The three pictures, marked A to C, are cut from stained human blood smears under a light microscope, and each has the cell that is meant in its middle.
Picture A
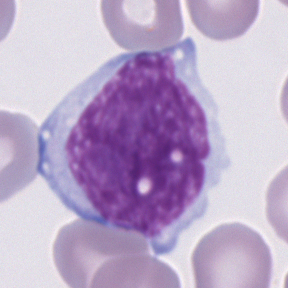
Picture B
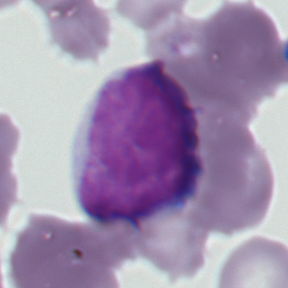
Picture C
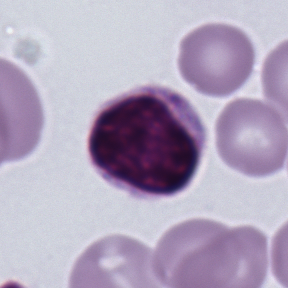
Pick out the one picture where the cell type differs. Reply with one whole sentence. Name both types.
Picture C differs, because its cell is a large granular lymphocyte and the rest are myeloblasts.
